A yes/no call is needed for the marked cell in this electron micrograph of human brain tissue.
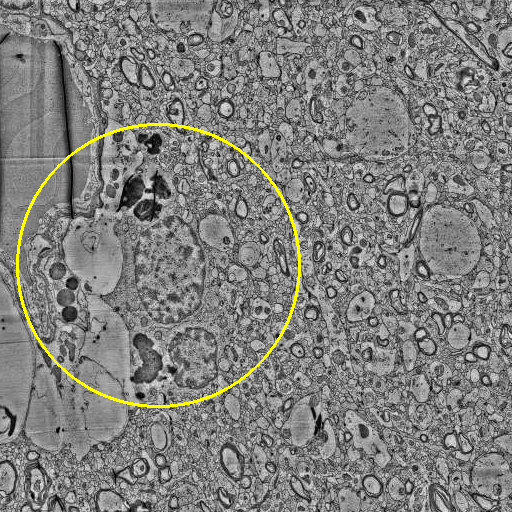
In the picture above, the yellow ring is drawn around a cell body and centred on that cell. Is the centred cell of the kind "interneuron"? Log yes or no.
no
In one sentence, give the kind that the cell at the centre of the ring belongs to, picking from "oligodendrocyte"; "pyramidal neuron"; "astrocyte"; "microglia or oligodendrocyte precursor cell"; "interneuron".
What the ring is centred on is an oligodendrocyte.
